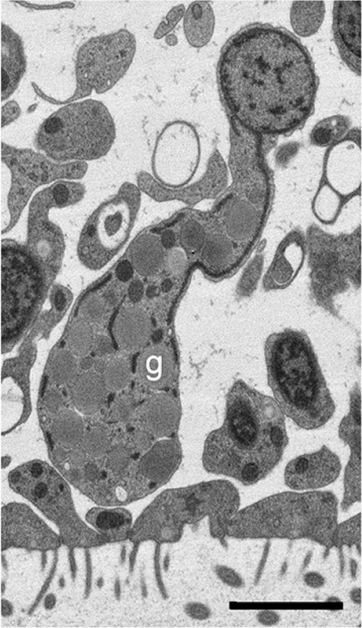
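A flask-shaped cell sits on the epithelial surface, its broad lower part crowded with large, round, uniformly grey granules pressed against one another, while a narrow stalk rises to a region holding an oval nucleus with clumped chromatin. Smaller cells with dark nuclei and processes lie around it, and slender profiles cut in section lie beneath the surface.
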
